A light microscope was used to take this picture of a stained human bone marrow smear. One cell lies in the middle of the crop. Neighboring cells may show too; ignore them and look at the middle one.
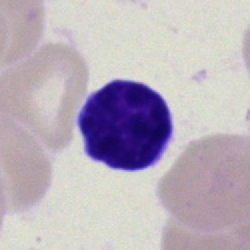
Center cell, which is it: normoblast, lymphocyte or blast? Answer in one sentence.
For this crop, the central cell is a lymphocyte.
